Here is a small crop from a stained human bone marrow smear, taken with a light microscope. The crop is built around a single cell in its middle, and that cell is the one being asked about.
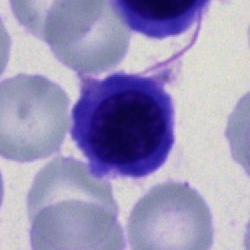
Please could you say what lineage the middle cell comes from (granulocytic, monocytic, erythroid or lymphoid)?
erythroid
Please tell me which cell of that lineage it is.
erythroblast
